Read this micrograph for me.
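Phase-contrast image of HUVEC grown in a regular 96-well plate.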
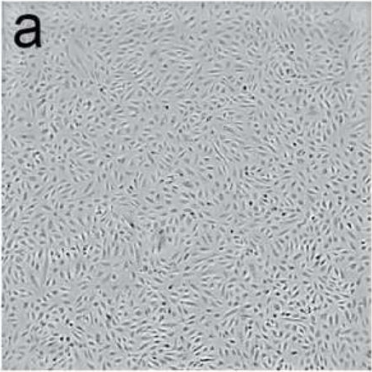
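The cells are elongated and spindle-shaped, each with a darker central body and tapering ends. Neighbouring cells lie roughly parallel to one another in small local streams. These streams change direction across the field, giving a swirling pattern. Free spaces between cells are narrow and few. The layer looks even in density from edge to edge.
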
